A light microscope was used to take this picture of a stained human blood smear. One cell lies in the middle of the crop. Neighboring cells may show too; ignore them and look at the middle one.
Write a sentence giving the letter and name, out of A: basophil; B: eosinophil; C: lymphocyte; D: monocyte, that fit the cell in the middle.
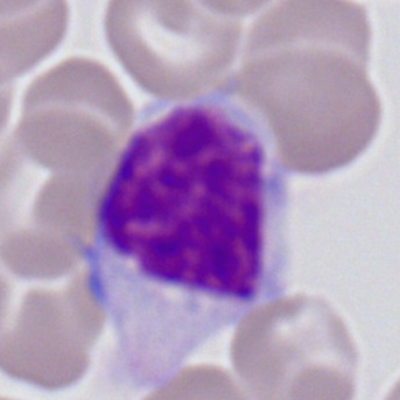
This one is option C, since the cell at the center is a lymphocyte.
